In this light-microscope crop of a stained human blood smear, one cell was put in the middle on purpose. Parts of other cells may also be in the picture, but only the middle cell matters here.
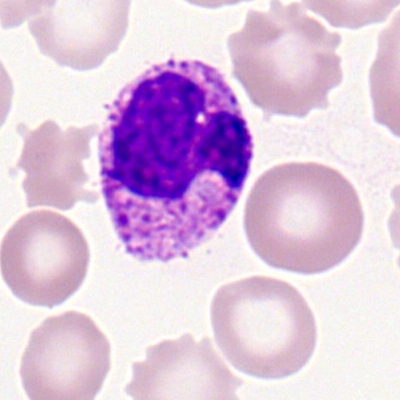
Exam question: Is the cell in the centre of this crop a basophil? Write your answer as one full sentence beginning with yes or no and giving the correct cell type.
Yes, in the centre of this field sits a basophil.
